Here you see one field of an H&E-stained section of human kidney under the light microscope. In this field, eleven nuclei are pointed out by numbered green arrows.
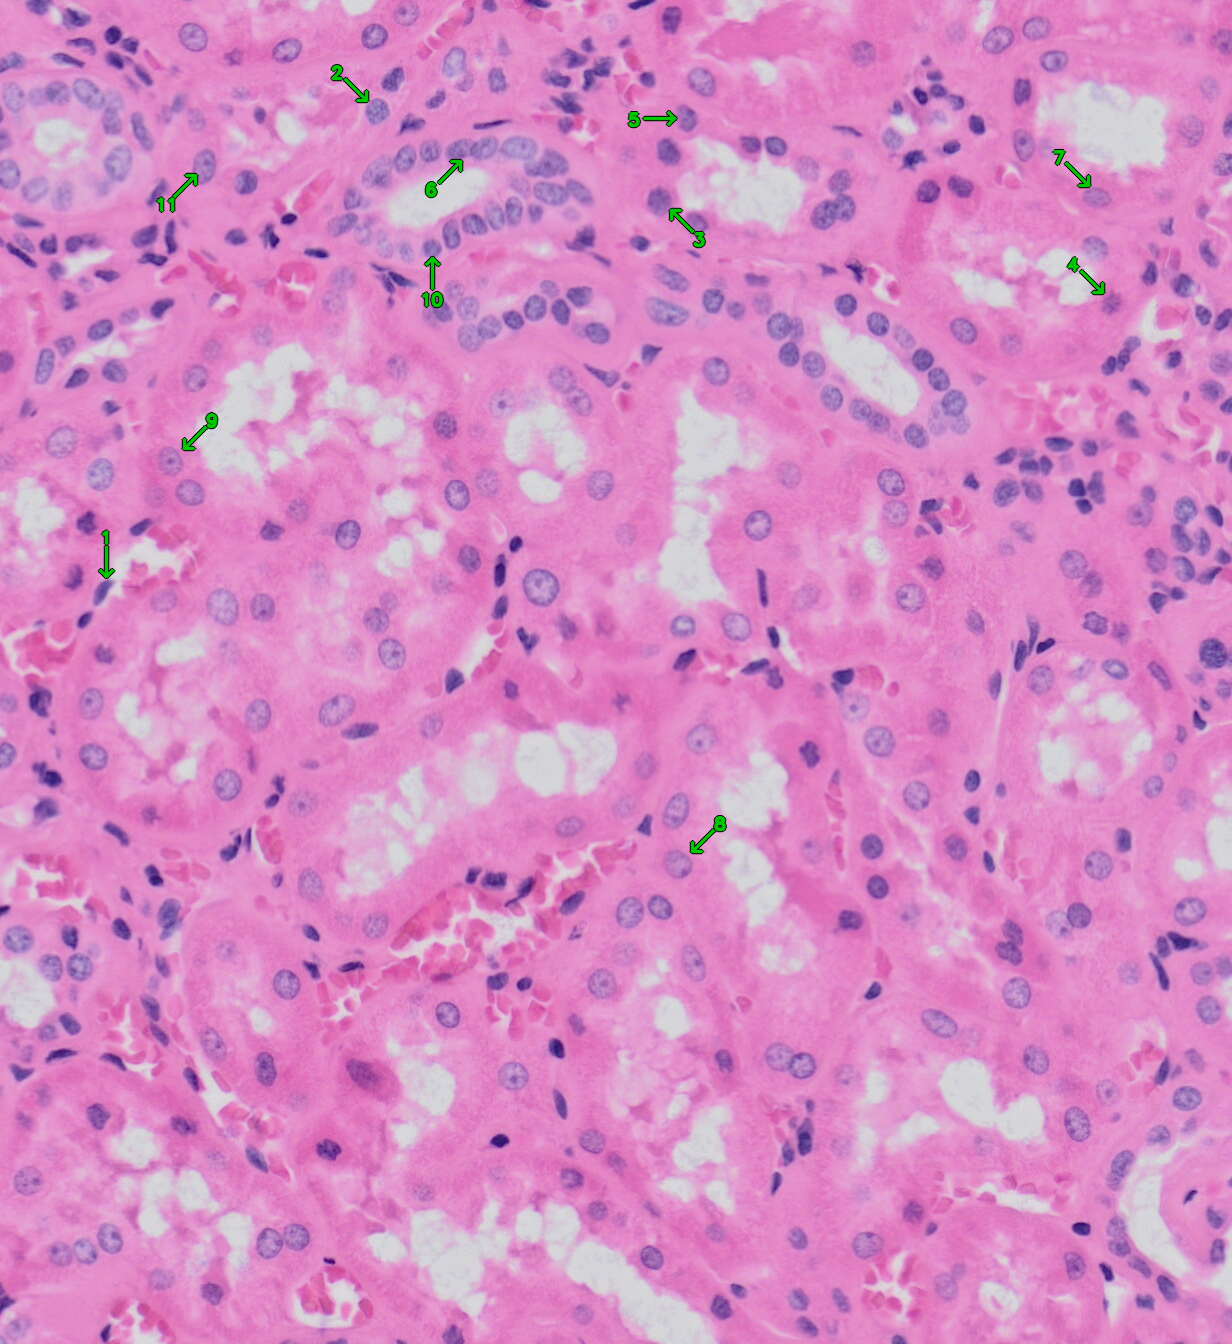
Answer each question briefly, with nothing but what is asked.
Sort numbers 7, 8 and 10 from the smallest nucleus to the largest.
10, 7, 8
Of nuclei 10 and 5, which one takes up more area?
5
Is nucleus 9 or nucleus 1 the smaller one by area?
1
